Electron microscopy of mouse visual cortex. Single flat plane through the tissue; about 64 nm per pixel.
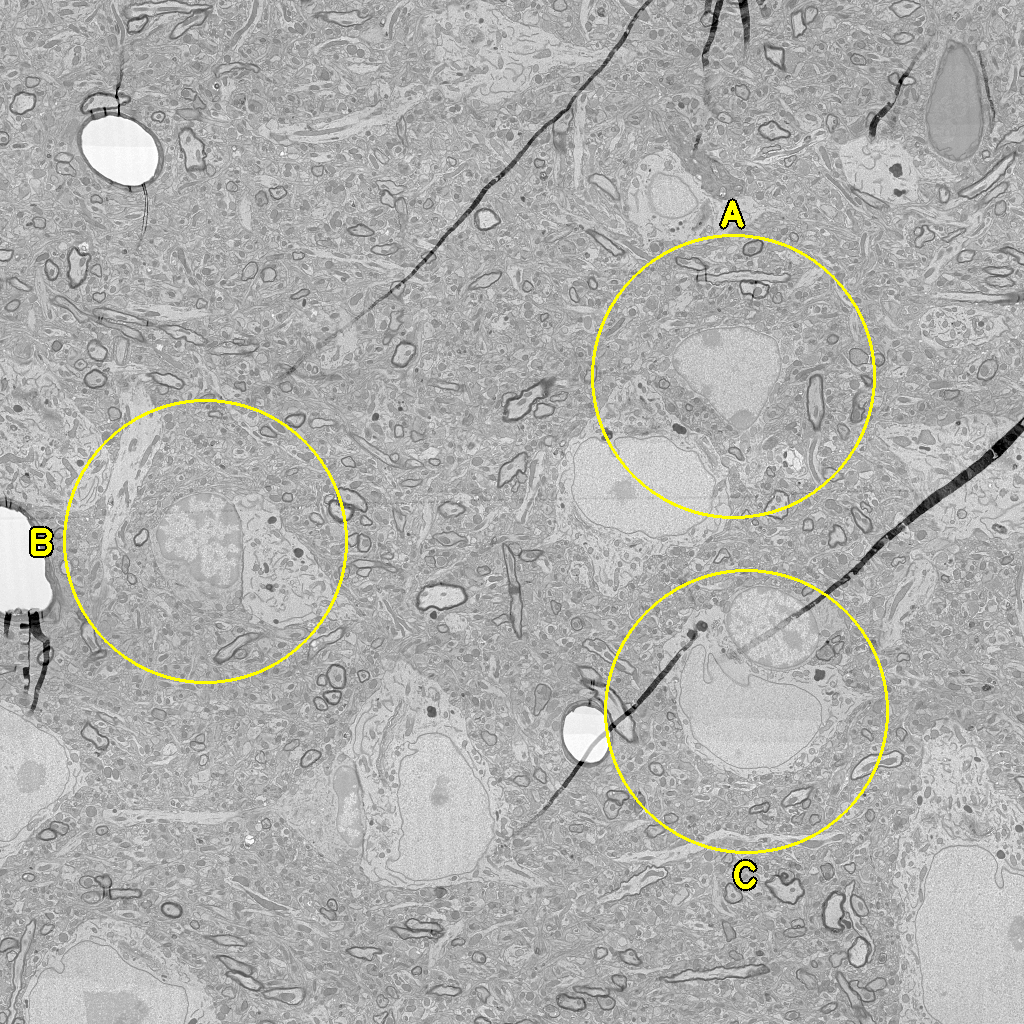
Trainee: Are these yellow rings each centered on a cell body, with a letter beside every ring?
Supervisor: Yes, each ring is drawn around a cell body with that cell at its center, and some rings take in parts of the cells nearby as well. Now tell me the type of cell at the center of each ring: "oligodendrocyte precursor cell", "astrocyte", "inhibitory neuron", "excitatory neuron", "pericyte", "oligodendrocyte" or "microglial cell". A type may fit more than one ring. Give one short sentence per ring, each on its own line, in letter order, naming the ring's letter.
Ring A has an astrocyte at its center.
Ring B has an oligodendrocyte at its center.
Ring C has an excitatory neuron at its center.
